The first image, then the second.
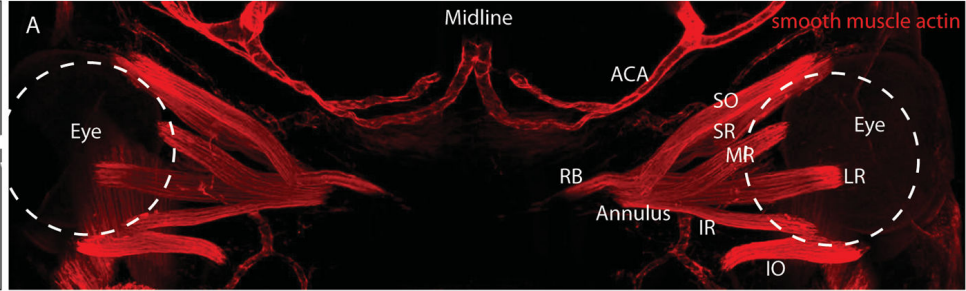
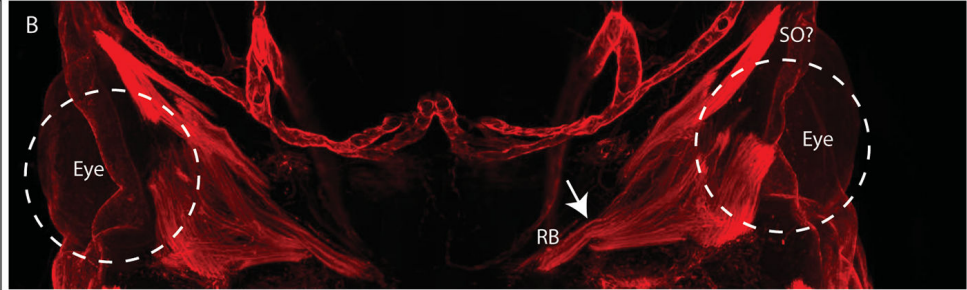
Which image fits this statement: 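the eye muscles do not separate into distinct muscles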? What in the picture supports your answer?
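The second image. Second image: the red muscle fibers fan out as a broad, continuous sheet without separate bundles. First image: separate, distinct red muscle bundles radiate from one point toward the eye.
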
